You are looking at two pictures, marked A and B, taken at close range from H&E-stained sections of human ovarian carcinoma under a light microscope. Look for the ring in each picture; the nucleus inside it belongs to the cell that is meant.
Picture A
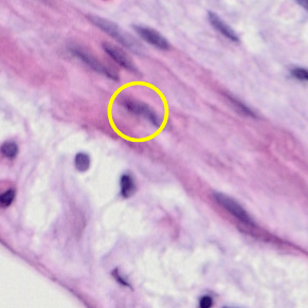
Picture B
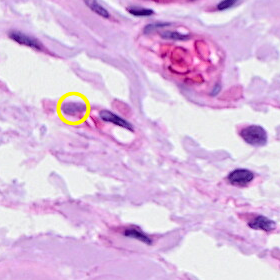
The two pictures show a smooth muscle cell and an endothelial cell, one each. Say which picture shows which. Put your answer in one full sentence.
Picture A is of a smooth muscle cell, and picture B is of an endothelial cell.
